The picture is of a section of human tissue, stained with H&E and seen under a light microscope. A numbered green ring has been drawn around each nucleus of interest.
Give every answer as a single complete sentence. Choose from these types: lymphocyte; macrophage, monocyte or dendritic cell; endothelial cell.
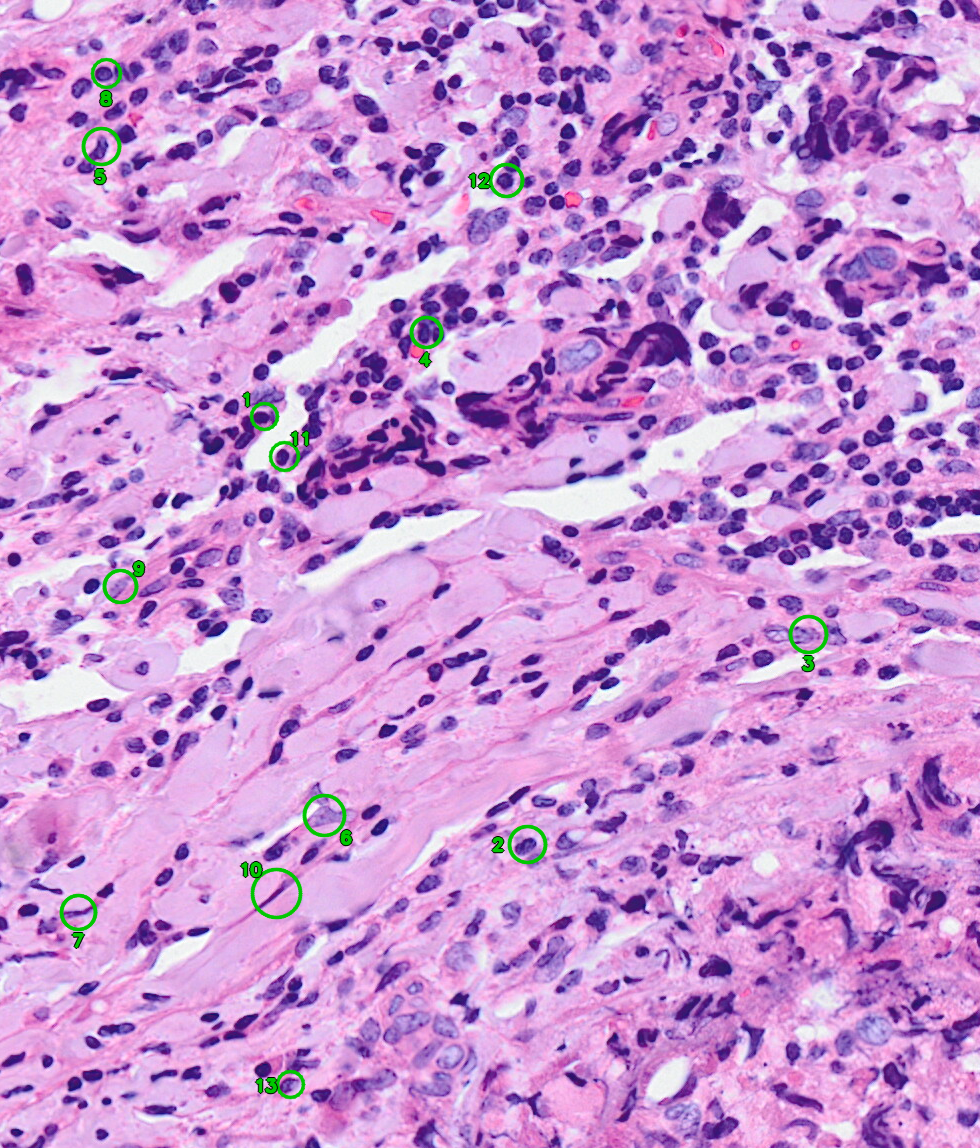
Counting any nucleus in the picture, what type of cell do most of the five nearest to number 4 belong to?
The majority of the five nuclei closest to number 4 belong to lymphocytes.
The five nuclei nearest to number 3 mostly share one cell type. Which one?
Around number 3, most of the five nearest nuclei are those of macrophages, monocytes or dendritic cells.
